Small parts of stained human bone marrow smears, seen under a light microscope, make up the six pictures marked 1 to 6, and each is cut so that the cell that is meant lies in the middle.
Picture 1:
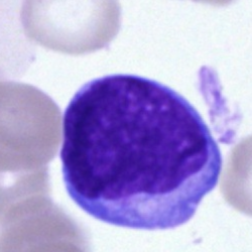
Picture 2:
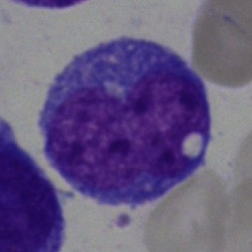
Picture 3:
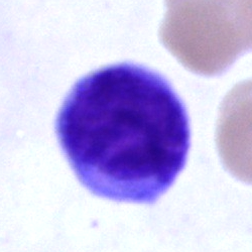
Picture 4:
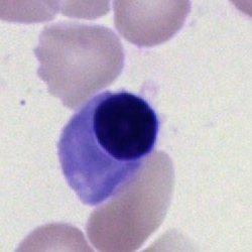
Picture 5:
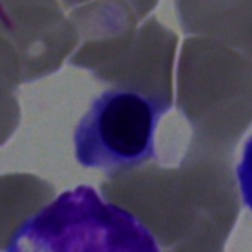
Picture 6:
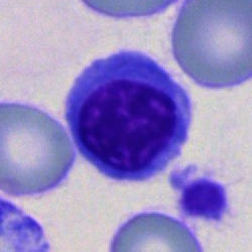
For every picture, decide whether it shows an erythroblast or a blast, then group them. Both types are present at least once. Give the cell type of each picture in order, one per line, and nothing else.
blast
blast
blast
erythroblast
erythroblast
erythroblast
